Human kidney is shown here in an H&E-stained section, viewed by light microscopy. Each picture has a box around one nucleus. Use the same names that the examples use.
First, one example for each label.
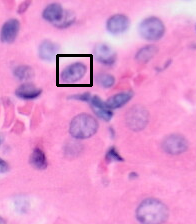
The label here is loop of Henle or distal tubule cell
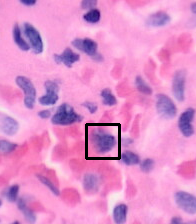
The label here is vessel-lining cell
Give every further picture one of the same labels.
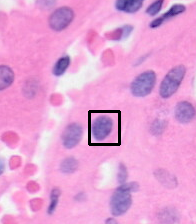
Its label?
loop of Henle or distal tubule cell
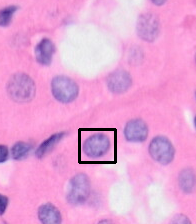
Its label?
loop of Henle or distal tubule cell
